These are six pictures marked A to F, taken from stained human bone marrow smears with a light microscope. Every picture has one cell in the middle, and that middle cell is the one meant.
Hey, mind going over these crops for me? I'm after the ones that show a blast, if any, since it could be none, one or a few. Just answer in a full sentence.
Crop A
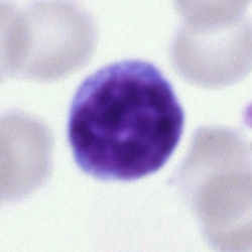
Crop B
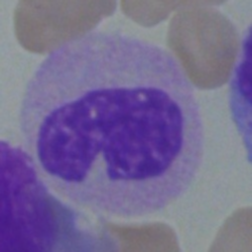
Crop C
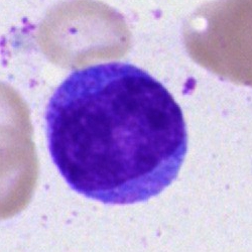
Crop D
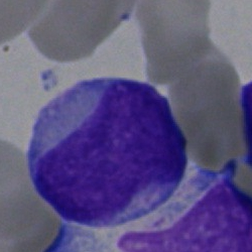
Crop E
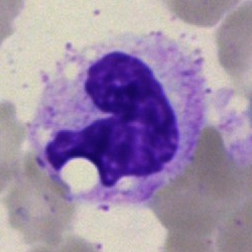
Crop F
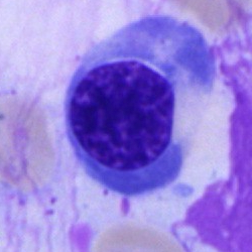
Crops C and D show blasts at their centres.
